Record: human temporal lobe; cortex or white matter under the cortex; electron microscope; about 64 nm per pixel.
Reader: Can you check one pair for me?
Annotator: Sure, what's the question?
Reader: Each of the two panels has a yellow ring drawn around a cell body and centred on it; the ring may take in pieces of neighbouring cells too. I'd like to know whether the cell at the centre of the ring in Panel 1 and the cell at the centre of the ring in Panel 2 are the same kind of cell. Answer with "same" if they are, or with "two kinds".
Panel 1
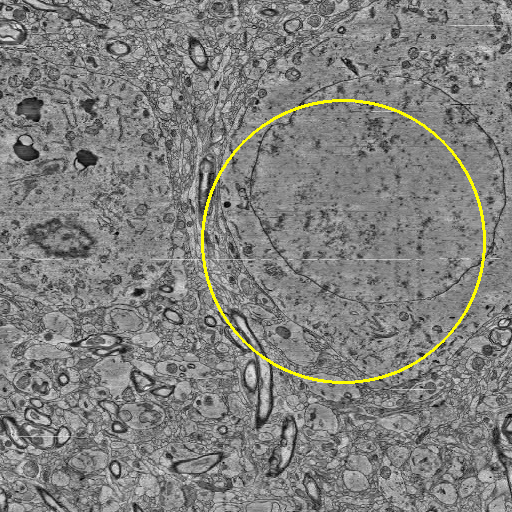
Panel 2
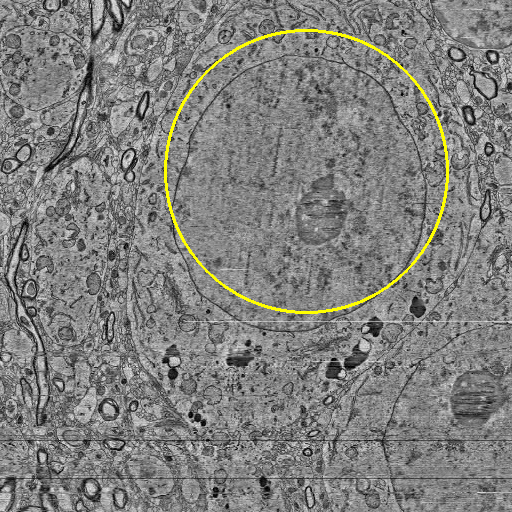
same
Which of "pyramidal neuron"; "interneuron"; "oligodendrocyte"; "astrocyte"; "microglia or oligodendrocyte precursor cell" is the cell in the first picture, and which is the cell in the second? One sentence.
Each of the two cells is a pyramidal neuron.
